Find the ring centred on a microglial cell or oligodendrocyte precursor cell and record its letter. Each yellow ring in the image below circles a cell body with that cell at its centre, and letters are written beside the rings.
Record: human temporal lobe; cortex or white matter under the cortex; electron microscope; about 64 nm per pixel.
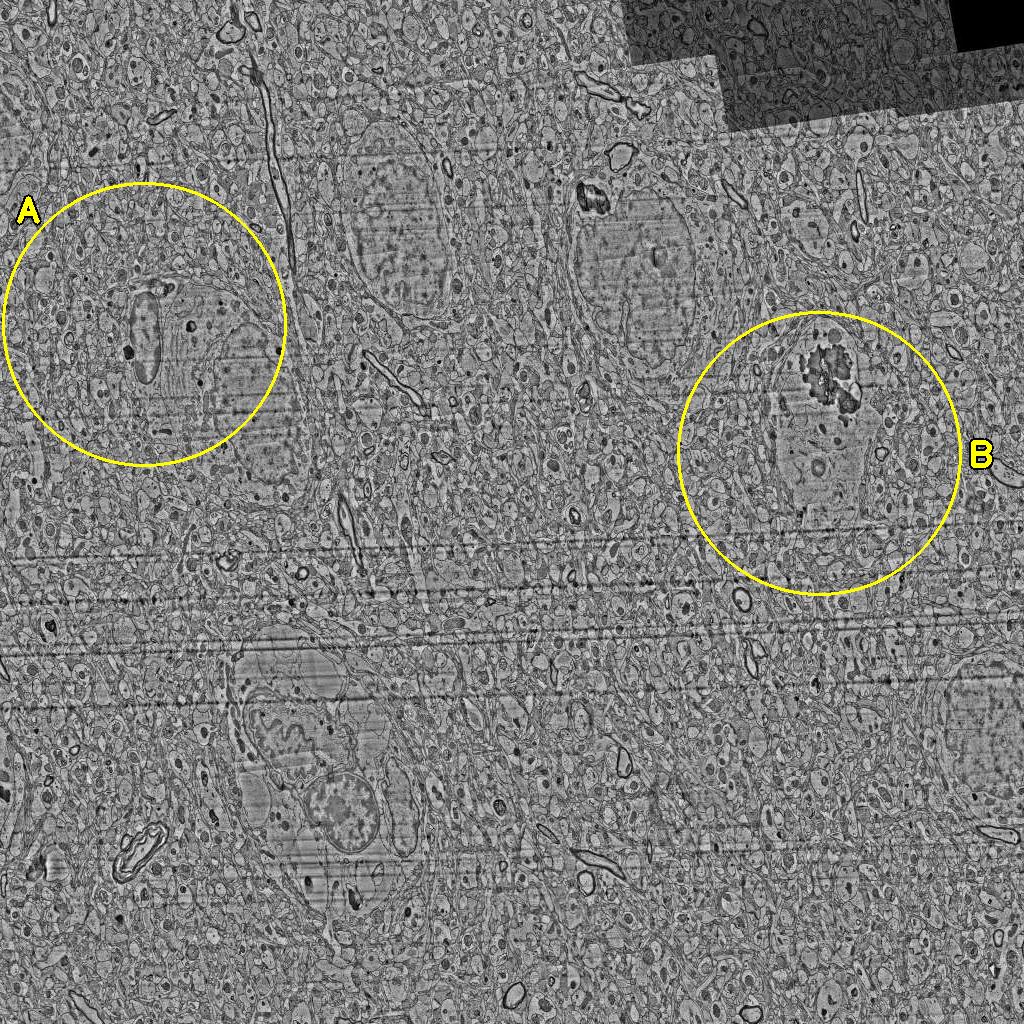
A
